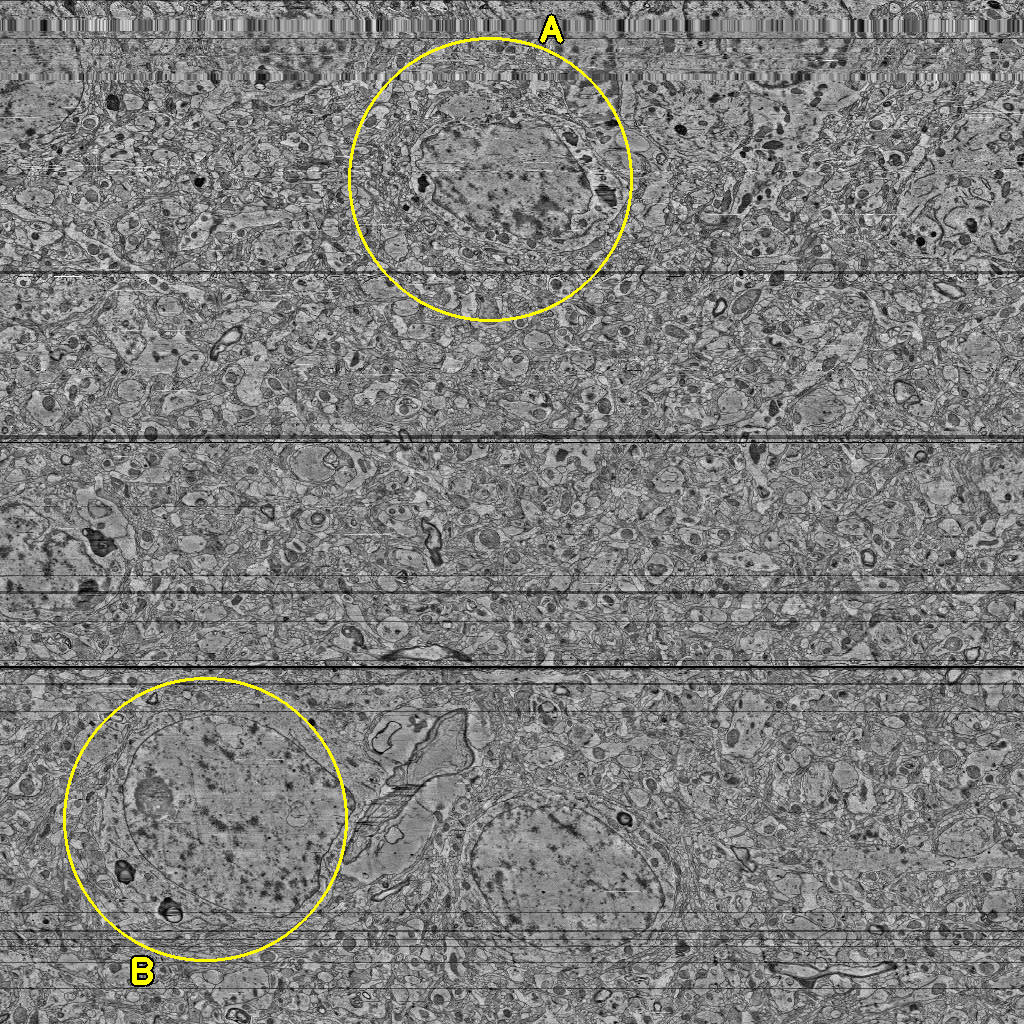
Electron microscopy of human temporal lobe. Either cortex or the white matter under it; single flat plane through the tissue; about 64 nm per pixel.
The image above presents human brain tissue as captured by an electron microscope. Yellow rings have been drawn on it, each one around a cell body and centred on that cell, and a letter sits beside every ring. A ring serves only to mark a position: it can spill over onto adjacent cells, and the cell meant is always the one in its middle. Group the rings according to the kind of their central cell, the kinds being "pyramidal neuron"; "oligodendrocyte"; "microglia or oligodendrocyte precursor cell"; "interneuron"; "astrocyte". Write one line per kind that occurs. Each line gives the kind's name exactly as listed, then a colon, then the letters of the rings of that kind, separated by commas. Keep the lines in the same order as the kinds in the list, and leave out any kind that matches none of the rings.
pyramidal neuron: B
interneuron: A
